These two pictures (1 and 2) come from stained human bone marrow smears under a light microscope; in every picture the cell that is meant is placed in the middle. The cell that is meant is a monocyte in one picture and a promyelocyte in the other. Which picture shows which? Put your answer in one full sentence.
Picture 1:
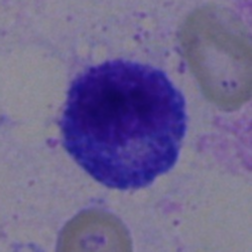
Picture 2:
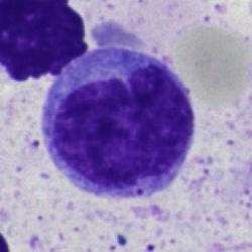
Picture 1 is of a promyelocyte, and picture 2 is of a monocyte.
